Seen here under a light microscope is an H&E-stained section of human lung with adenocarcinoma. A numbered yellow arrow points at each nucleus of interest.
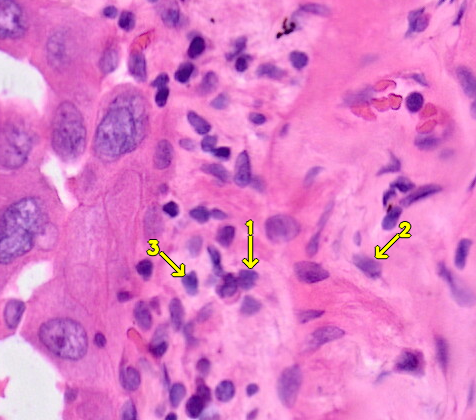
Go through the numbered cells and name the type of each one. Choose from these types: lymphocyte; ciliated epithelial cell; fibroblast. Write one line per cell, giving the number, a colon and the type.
1: lymphocyte
2: fibroblast
3: lymphocyte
